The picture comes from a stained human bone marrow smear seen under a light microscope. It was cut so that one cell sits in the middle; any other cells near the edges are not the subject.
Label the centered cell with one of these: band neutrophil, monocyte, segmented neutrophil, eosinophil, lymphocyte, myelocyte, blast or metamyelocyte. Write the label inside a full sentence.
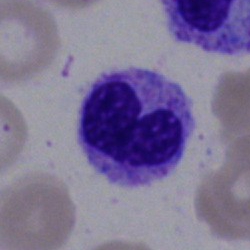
In the crop, the cell of interest at the centre is a band neutrophil.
